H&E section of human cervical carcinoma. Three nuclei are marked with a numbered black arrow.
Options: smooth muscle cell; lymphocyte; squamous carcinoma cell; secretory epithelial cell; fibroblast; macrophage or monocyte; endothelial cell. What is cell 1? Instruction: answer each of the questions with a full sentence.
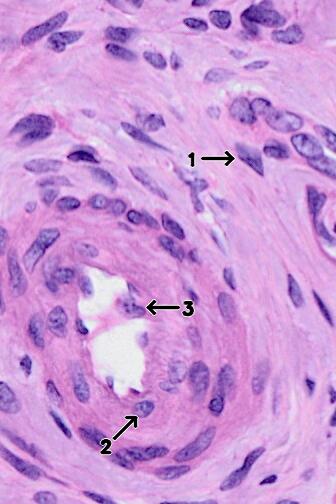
The cell that goes by number 1 is a fibroblast.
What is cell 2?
The cell that bears the number 2 is a smooth muscle cell.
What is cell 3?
The cell that carries the label 3 is an endothelial cell.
